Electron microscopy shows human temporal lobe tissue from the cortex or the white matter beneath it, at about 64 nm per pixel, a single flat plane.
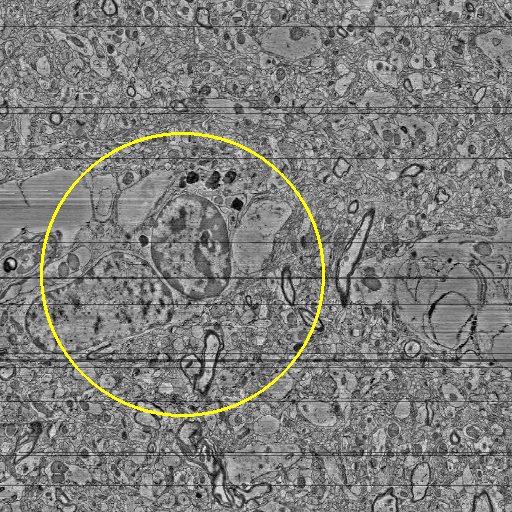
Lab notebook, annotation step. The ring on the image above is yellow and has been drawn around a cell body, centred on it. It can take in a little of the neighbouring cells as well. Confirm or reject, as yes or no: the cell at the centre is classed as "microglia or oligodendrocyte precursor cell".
Yes, confirmed for that class.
